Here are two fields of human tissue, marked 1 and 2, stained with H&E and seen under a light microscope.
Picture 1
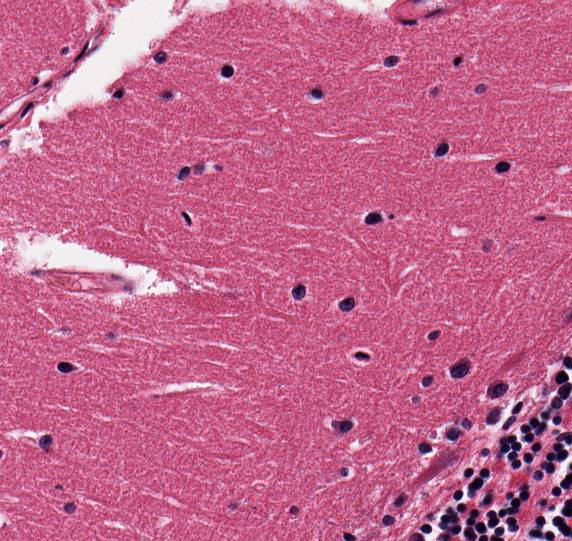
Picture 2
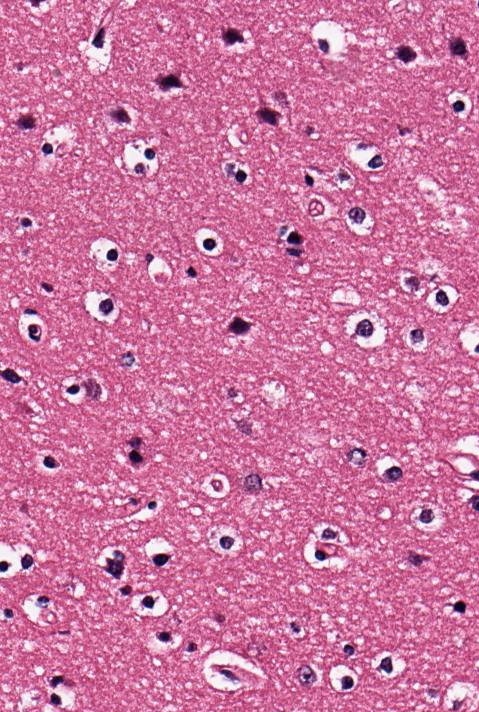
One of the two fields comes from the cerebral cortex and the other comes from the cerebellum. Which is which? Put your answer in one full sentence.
Picture 1 comes from the cerebellum and picture 2 comes from the cerebral cortex.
